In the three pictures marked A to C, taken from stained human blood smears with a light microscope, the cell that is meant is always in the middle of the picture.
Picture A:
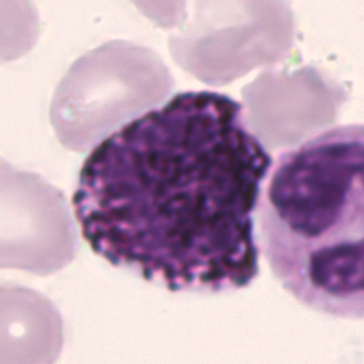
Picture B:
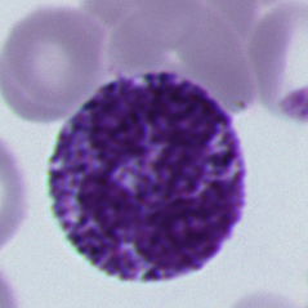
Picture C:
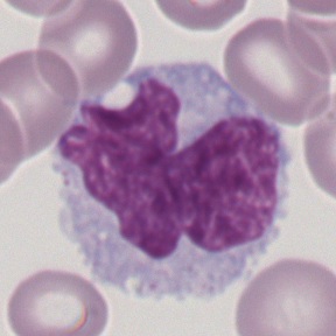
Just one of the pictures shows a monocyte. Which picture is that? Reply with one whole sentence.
The picture with the monocyte is C.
